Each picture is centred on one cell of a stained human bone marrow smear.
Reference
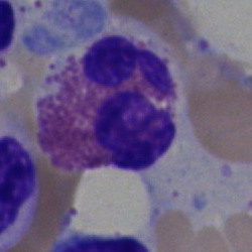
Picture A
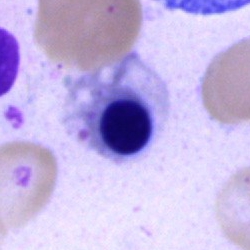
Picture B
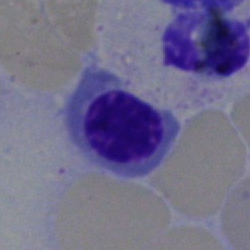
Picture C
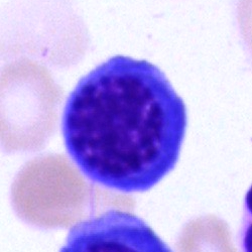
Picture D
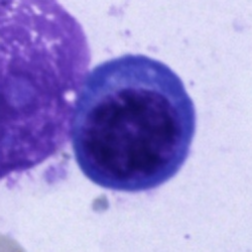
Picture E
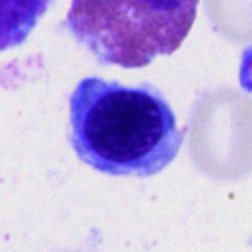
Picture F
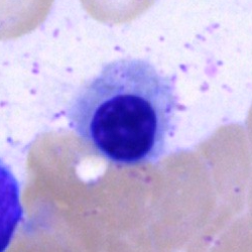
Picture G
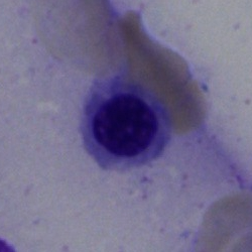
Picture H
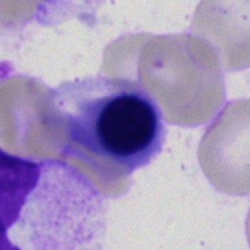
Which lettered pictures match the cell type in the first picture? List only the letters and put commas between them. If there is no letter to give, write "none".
none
